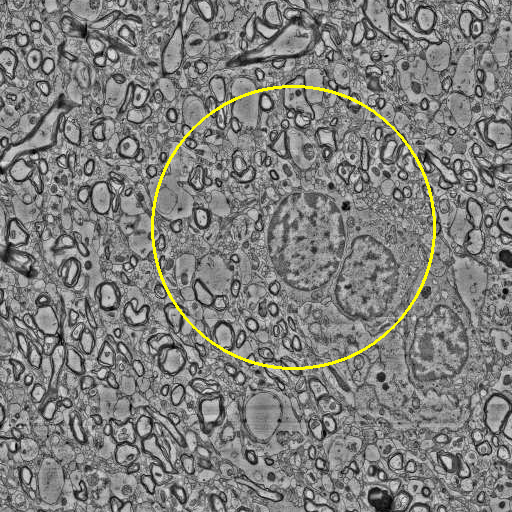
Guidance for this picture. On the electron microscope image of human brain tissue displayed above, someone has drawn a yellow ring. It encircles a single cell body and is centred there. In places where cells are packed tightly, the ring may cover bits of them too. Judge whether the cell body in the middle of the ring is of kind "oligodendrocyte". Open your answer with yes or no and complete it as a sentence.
Yes, that kind matches the cell whose body lies at the ring's centre in the image above.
